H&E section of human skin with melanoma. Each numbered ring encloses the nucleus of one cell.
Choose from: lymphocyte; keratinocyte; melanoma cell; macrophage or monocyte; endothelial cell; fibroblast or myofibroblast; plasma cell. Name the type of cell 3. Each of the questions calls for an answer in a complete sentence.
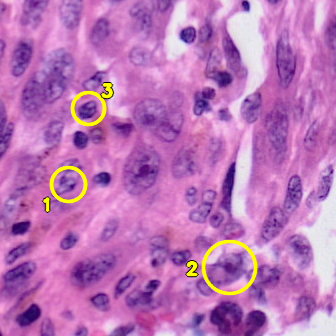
The correct answer for cell 3 is a lymphocyte.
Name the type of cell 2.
Corresponding to a melanoma cell is the cell labelled 2.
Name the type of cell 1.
The numeral 1 marks an endothelial cell in this section.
